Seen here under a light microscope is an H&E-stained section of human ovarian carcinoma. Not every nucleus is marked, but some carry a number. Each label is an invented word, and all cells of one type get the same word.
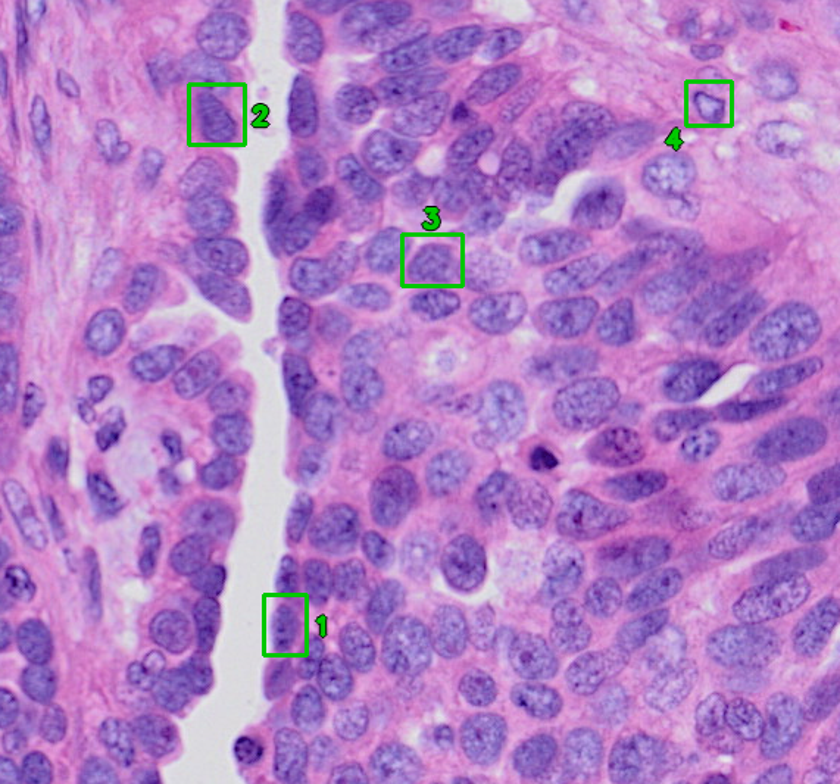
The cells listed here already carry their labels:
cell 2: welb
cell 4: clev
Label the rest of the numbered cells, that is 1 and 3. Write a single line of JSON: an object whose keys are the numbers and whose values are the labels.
{"1": "welb", "3": "welb"}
